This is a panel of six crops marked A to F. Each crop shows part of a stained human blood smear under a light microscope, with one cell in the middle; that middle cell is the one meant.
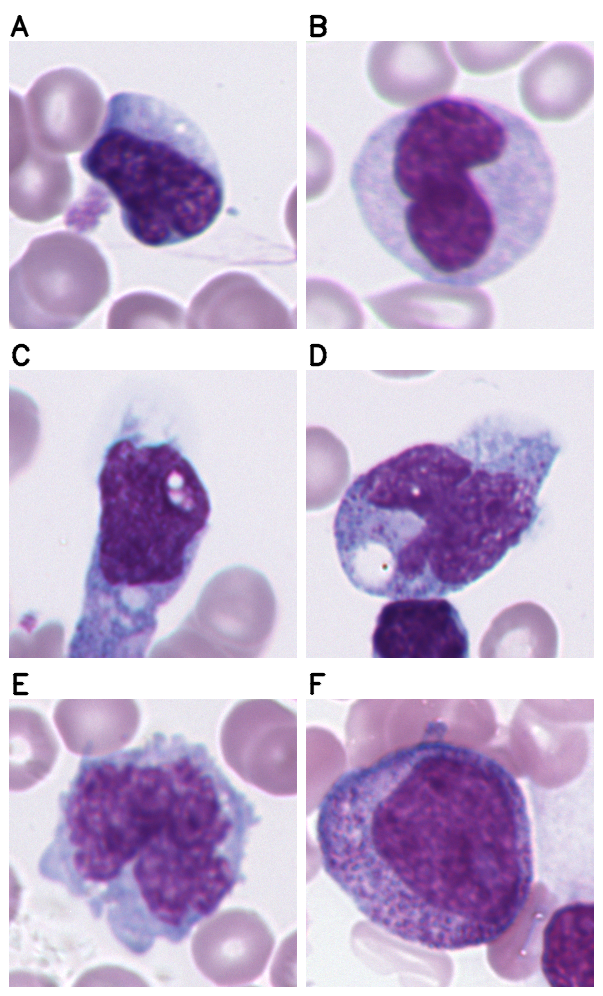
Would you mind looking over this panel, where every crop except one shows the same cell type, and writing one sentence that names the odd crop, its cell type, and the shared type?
The others are all monocytes; crop F is a promyelocyte.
